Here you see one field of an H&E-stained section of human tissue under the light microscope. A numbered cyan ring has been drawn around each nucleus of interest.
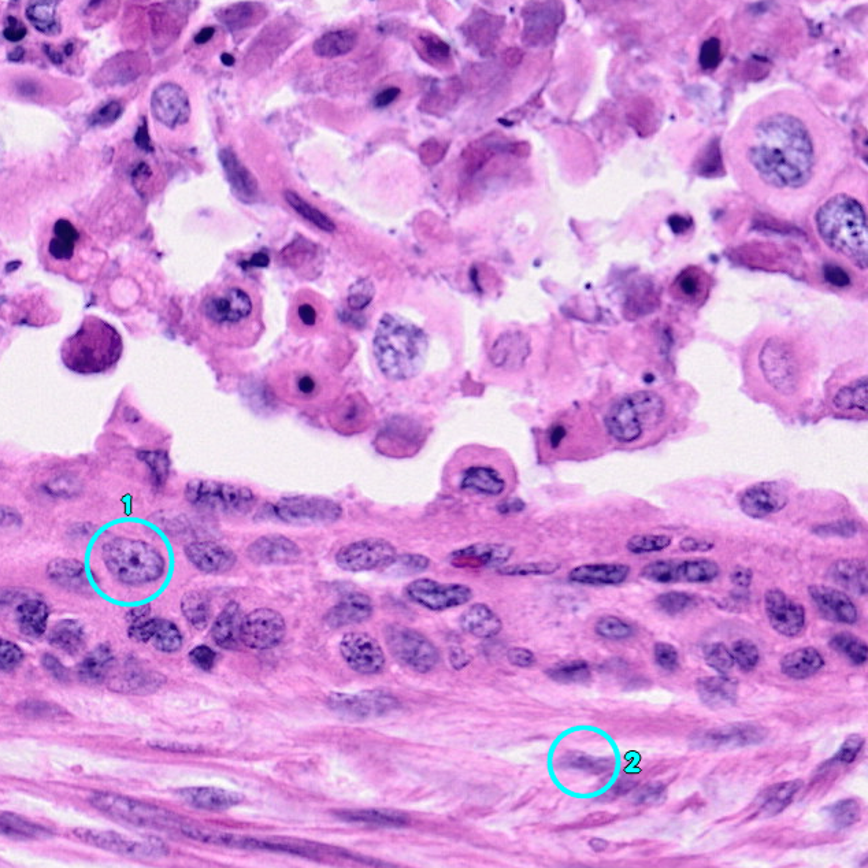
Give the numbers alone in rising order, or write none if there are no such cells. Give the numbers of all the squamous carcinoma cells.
1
